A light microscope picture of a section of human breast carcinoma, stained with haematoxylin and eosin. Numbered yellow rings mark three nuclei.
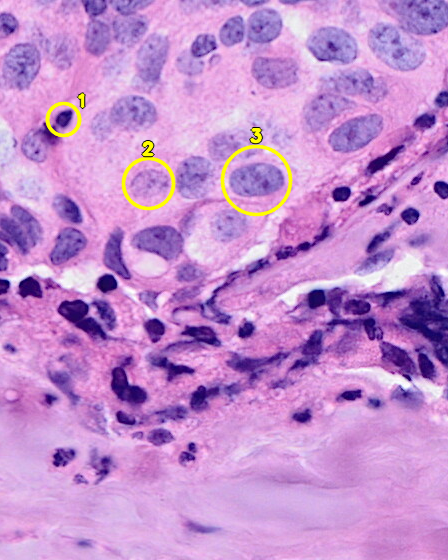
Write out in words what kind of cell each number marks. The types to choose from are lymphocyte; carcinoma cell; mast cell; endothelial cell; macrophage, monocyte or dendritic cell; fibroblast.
Cell 1 is a lymphocyte. Cells 2 and 3 are carcinoma cells.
